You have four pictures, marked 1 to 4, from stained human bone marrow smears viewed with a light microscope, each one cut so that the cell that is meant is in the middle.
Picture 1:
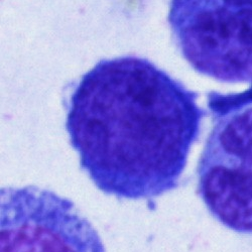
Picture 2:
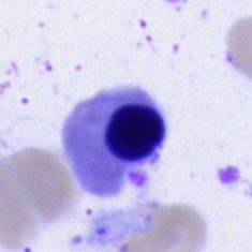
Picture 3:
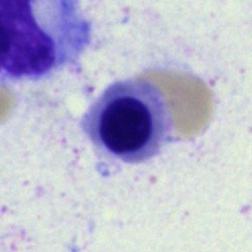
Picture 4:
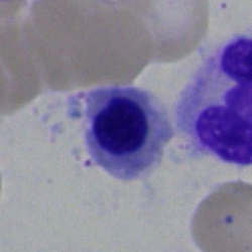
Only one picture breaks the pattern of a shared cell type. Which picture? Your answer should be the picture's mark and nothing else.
1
